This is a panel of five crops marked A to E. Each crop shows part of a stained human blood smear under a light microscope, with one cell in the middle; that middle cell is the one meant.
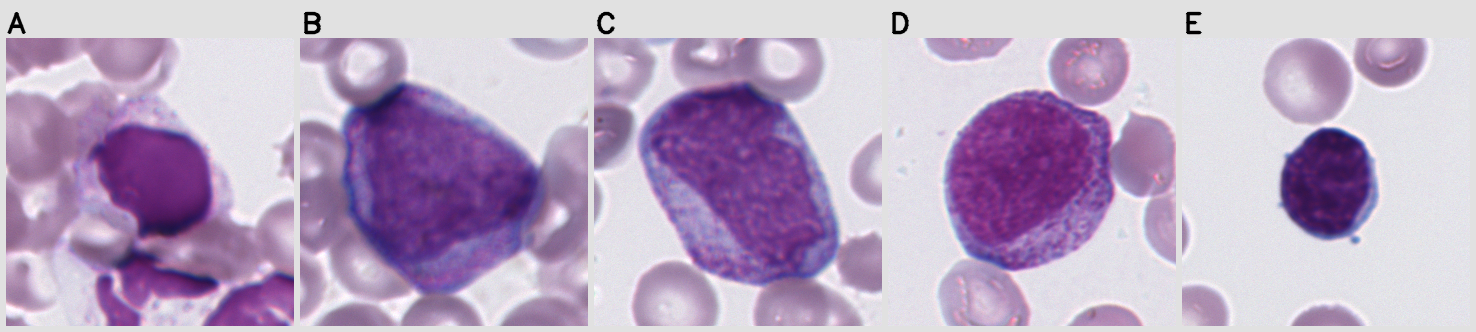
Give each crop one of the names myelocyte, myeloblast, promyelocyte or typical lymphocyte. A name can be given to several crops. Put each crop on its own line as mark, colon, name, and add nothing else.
A: typical lymphocyte
B: promyelocyte
C: promyelocyte
D: promyelocyte
E: typical lymphocyte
